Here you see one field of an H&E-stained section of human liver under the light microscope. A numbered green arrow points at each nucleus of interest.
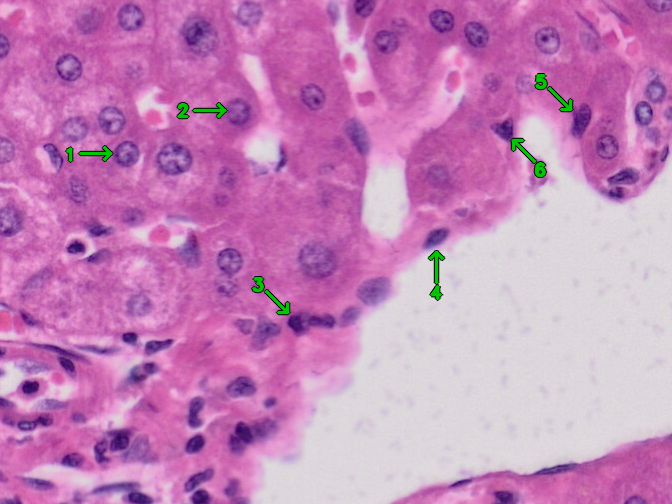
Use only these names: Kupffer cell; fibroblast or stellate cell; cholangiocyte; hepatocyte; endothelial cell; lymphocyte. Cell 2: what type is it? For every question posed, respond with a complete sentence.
Number 2 is placed on a hepatocyte here.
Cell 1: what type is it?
The nucleus labeled 1 belongs to a hepatocyte.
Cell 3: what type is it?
Among the marked cells, number 3 is a fibroblast or stellate cell.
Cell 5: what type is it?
Identified by the number 5, the cell is a fibroblast or stellate cell.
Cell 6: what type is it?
The cell identified by the number 6 is a fibroblast or stellate cell.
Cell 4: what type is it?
In this section, the cell numbered 4 is a fibroblast or stellate cell.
